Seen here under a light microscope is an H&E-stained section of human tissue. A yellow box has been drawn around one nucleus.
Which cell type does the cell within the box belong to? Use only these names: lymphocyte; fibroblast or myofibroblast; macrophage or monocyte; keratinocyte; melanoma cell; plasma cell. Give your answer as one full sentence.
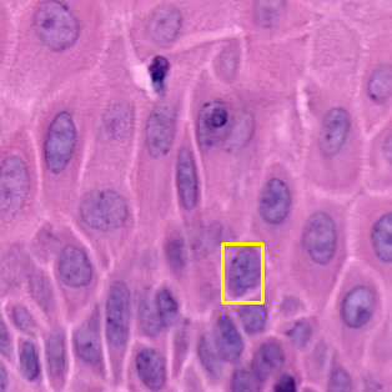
For cell typing purposes, the cell within the box is a keratinocyte.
